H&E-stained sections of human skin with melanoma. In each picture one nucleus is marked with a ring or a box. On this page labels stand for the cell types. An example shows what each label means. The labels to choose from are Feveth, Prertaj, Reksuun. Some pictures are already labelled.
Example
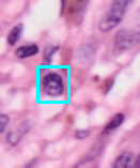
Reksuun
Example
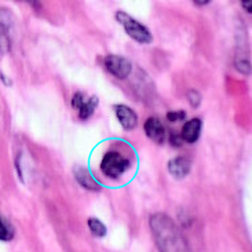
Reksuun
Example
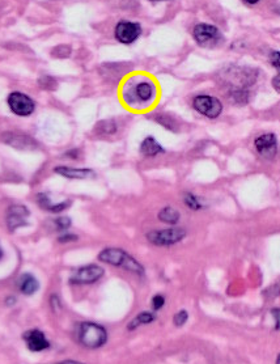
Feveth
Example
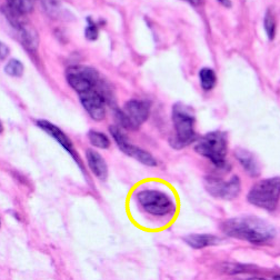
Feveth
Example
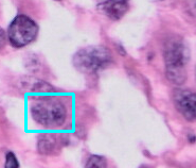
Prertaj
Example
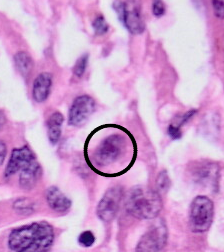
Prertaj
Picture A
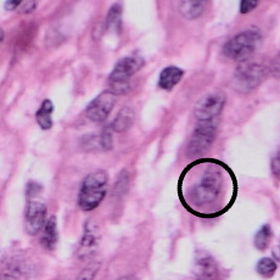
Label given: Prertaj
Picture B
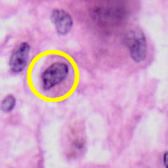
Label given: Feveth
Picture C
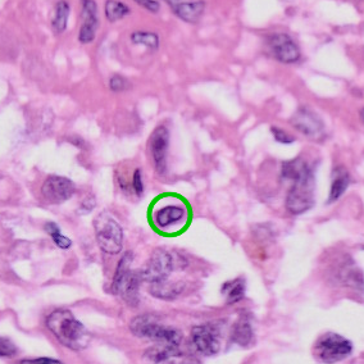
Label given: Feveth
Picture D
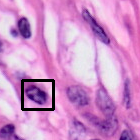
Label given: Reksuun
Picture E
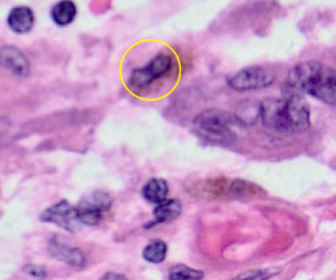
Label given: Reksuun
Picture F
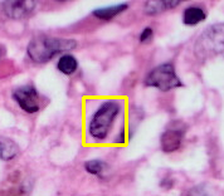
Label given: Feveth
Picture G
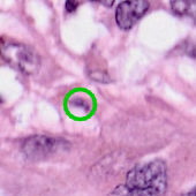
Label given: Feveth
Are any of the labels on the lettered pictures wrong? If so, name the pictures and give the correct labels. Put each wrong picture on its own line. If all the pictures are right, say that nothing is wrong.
E should be Feveth, not Reksuun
